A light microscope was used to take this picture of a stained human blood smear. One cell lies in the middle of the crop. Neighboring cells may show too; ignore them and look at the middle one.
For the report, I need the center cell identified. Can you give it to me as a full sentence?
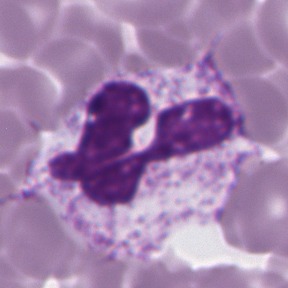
In short, the cell at the center is a segmented neutrophil.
